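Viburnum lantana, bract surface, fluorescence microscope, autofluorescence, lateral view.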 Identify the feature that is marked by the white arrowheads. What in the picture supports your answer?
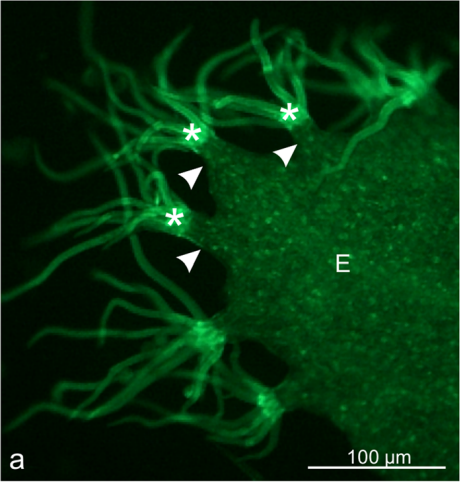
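The arrowheads point to short outgrowths of the surface tissue that carry the trichomes. The outgrowths are continuous with the broad surface layer. The answer: epidermis protrusions.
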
